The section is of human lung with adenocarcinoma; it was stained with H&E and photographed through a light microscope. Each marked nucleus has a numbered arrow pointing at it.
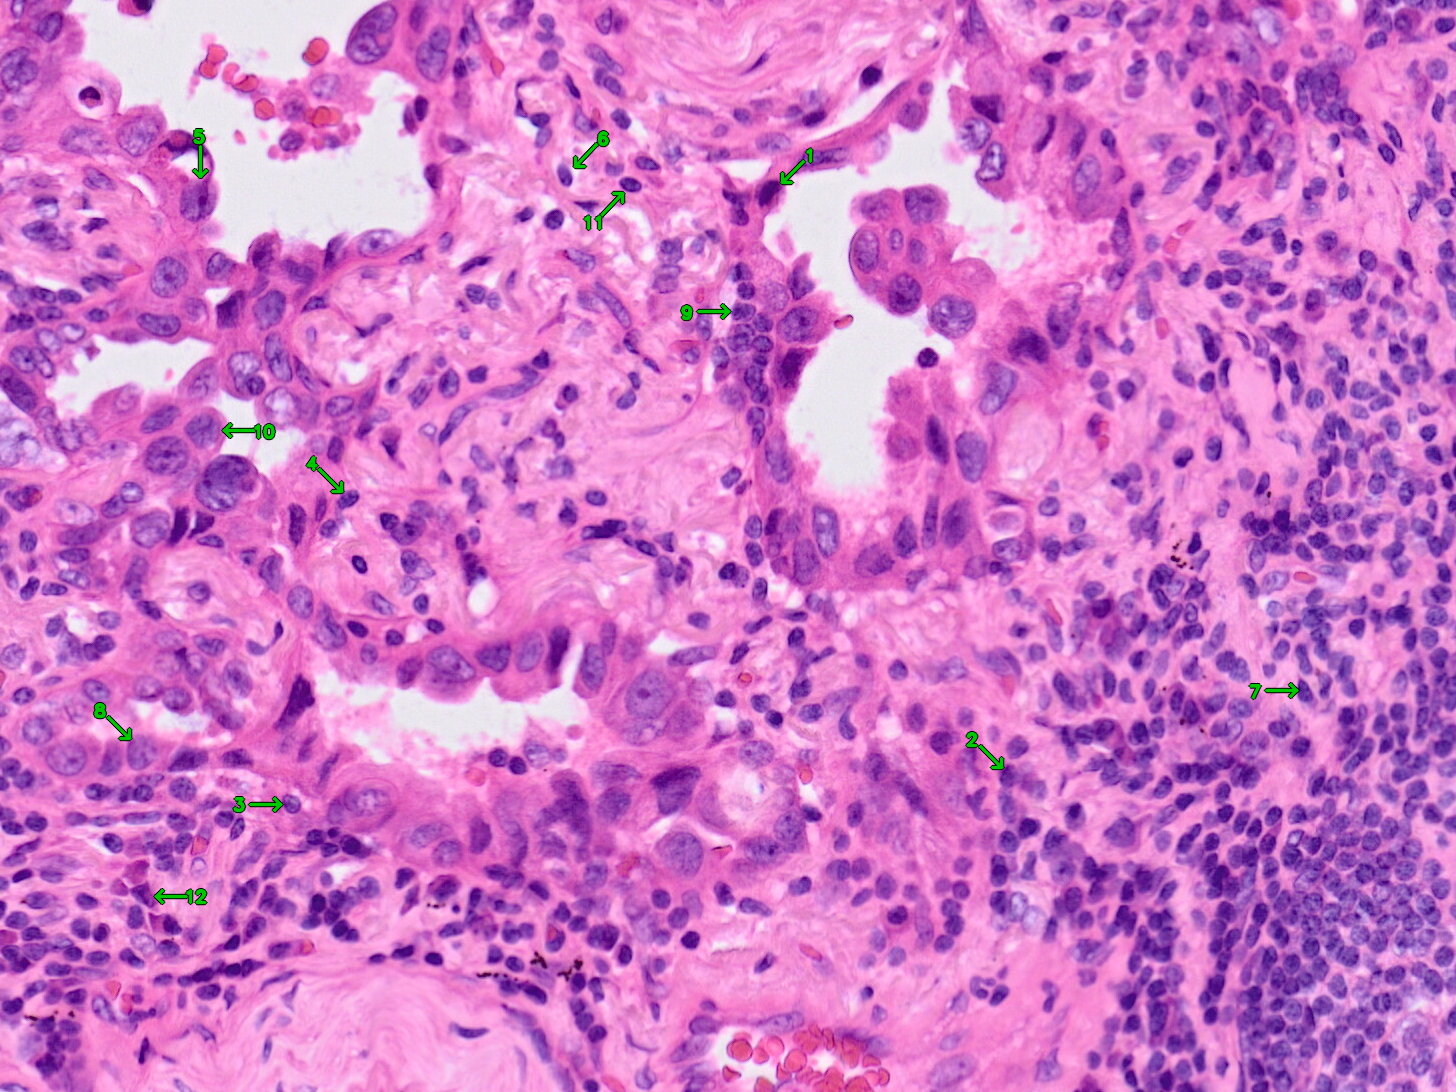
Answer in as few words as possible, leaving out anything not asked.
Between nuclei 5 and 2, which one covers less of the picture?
2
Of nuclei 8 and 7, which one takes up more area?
8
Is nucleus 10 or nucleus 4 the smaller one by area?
4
